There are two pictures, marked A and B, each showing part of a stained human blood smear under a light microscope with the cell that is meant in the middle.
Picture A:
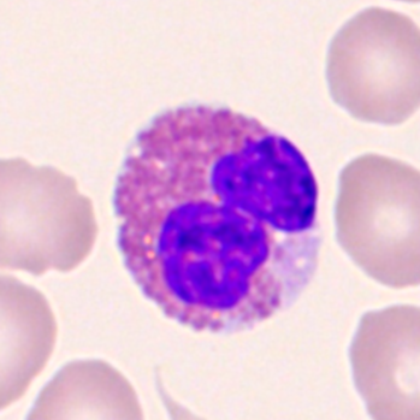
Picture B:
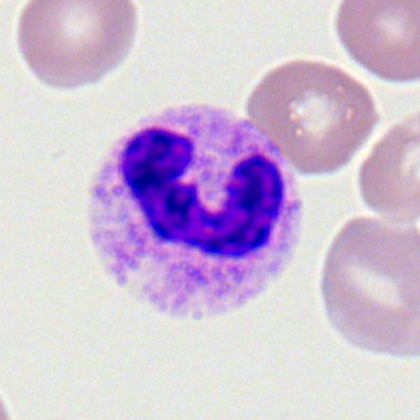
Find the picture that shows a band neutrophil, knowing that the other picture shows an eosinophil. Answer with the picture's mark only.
B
